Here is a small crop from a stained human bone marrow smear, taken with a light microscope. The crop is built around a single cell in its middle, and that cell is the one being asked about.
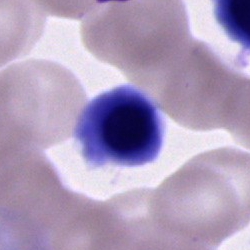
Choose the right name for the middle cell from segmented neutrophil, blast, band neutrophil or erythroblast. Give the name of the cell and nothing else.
erythroblast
